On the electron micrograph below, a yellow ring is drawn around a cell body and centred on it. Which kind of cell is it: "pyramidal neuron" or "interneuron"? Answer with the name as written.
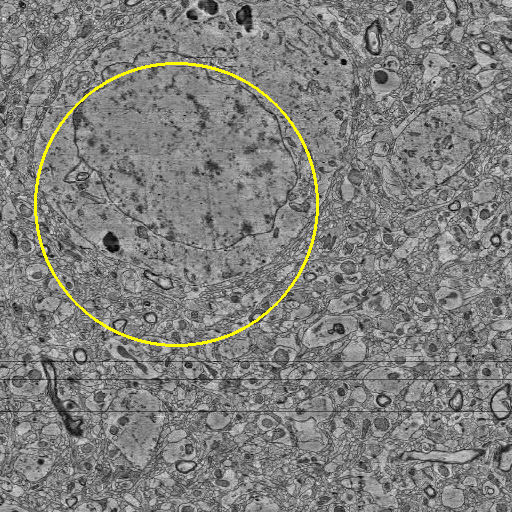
pyramidal neuron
